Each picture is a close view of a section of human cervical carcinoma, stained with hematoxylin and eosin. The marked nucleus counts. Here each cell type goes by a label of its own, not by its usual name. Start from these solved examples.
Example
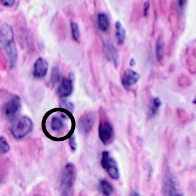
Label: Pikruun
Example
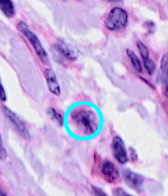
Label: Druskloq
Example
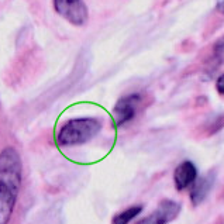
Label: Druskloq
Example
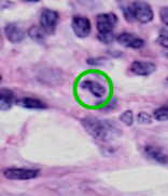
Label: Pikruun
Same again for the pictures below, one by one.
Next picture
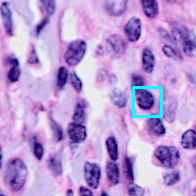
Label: Pikruun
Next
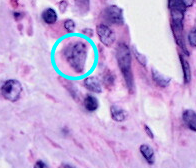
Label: Druskloq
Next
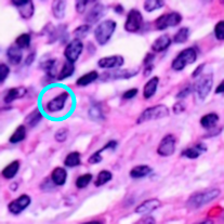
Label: Pikruun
